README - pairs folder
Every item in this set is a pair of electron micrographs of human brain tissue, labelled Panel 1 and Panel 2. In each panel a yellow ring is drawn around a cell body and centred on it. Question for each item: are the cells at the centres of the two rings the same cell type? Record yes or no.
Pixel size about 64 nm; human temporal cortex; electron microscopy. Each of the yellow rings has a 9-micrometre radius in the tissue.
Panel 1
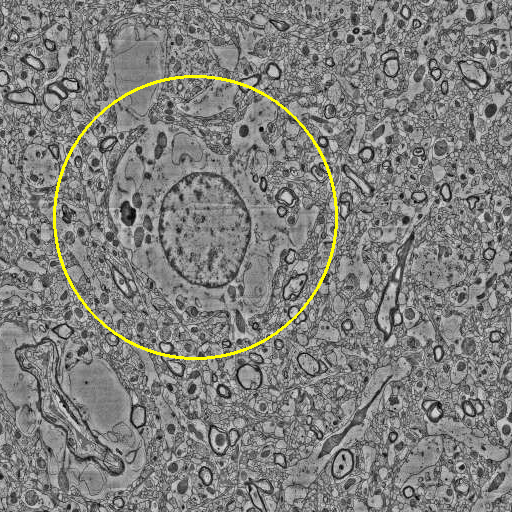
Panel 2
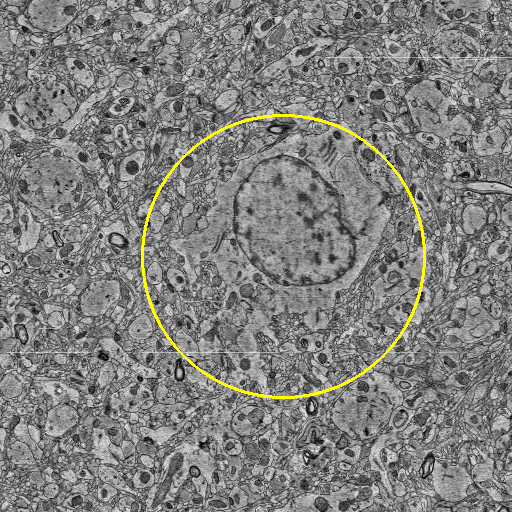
yes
